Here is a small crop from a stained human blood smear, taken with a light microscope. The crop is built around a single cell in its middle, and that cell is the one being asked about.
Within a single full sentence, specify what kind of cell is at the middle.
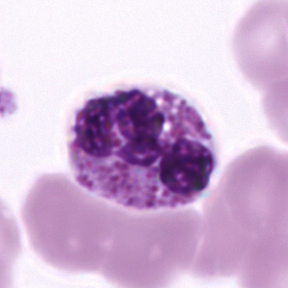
The cell under consideration, at the middle of the crop, is an eosinophil.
